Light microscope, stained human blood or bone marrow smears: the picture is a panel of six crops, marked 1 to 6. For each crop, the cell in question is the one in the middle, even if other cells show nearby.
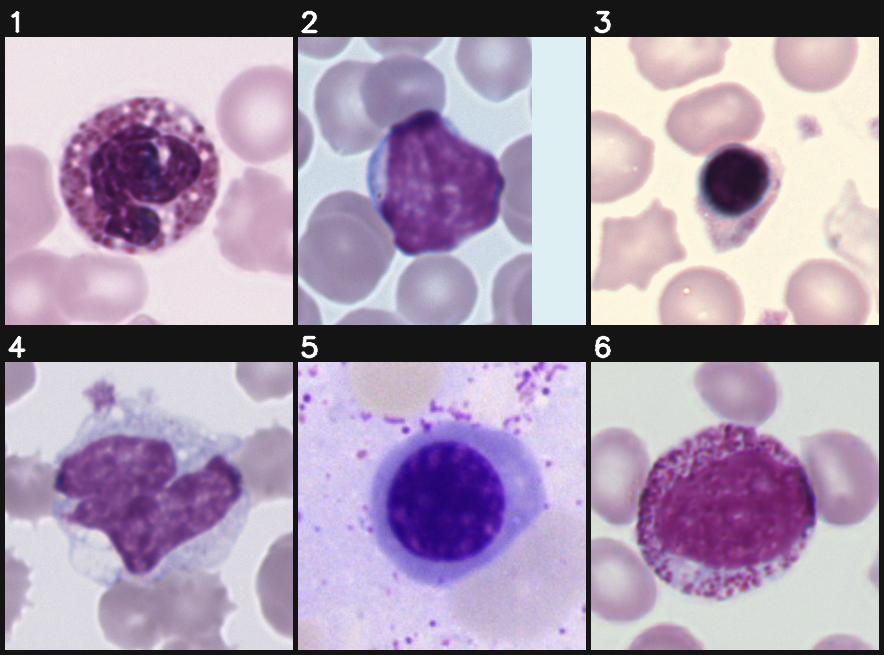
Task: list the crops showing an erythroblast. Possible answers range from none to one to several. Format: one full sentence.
In this series, erythroblasts are shown by crops 3 and 5.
